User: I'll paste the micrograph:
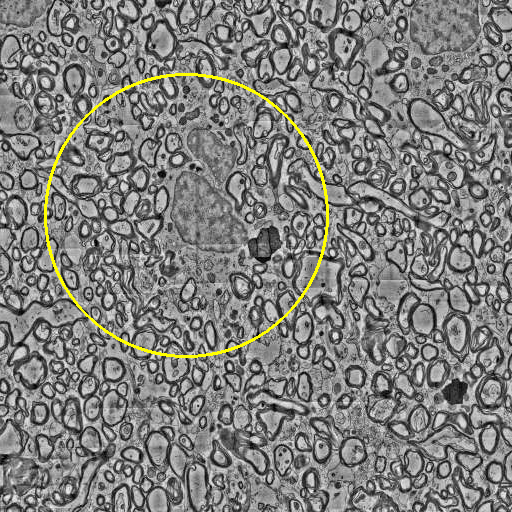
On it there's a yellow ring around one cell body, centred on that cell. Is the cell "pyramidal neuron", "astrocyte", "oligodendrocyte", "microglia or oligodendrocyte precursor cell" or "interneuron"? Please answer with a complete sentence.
The cell ringed in yellow is an oligodendrocyte.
